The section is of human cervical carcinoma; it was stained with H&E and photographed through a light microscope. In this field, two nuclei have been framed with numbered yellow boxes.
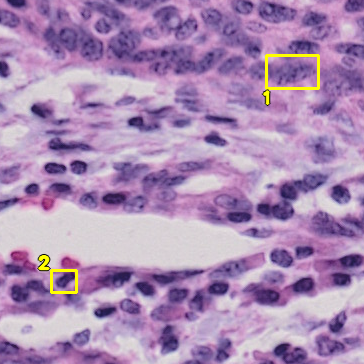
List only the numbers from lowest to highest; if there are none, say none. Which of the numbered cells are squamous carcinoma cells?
1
